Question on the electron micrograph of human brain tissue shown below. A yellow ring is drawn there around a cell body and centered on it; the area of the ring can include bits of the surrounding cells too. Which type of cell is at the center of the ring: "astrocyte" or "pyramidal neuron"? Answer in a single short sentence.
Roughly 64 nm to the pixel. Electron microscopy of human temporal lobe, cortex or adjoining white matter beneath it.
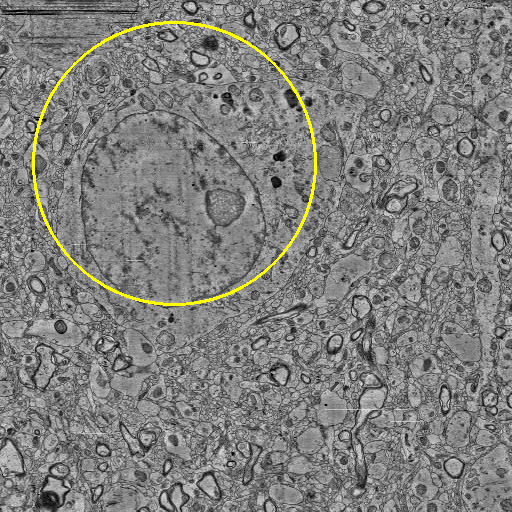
The ring is centered on a pyramidal neuron.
